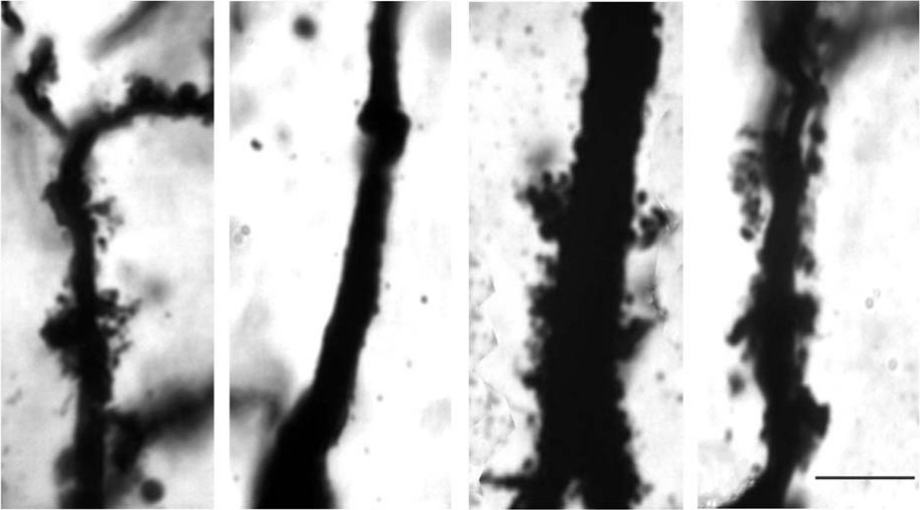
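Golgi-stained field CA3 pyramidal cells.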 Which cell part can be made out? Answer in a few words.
proximal apical dendritic shaft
